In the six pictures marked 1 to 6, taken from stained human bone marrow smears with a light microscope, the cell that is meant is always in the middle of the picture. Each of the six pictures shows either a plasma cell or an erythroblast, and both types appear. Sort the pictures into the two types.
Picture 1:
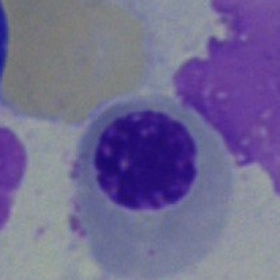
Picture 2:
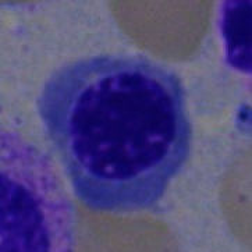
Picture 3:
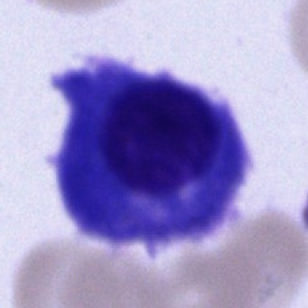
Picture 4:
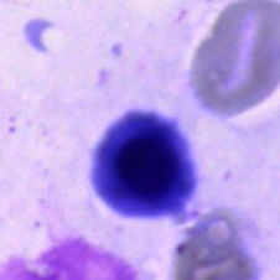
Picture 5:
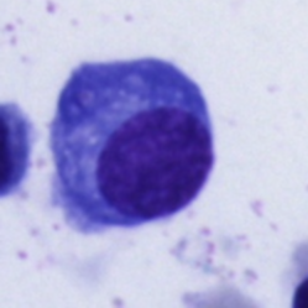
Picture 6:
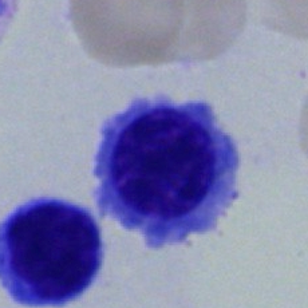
1: erythroblast
2: erythroblast
3: plasma cell
4: erythroblast
5: plasma cell
6: erythroblast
